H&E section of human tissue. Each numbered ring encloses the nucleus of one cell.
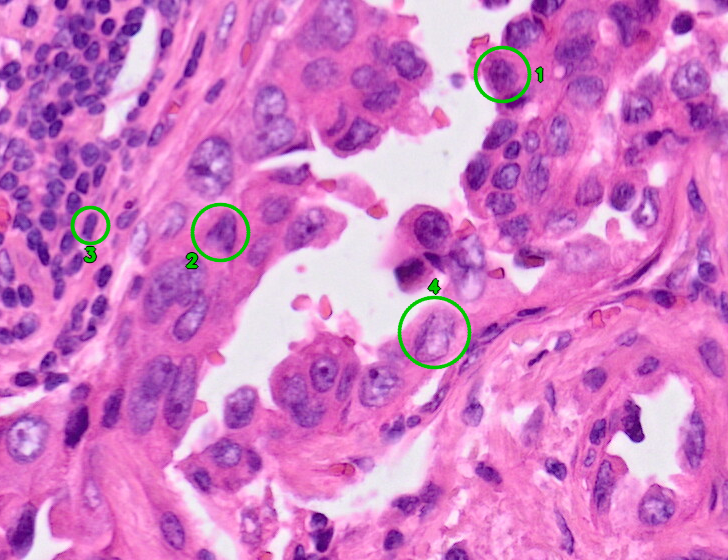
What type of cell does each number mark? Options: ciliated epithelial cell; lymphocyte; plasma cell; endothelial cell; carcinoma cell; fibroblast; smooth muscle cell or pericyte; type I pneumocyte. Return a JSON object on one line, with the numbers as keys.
{"1": "carcinoma cell", "2": "carcinoma cell", "3": "lymphocyte", "4": "carcinoma cell"}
